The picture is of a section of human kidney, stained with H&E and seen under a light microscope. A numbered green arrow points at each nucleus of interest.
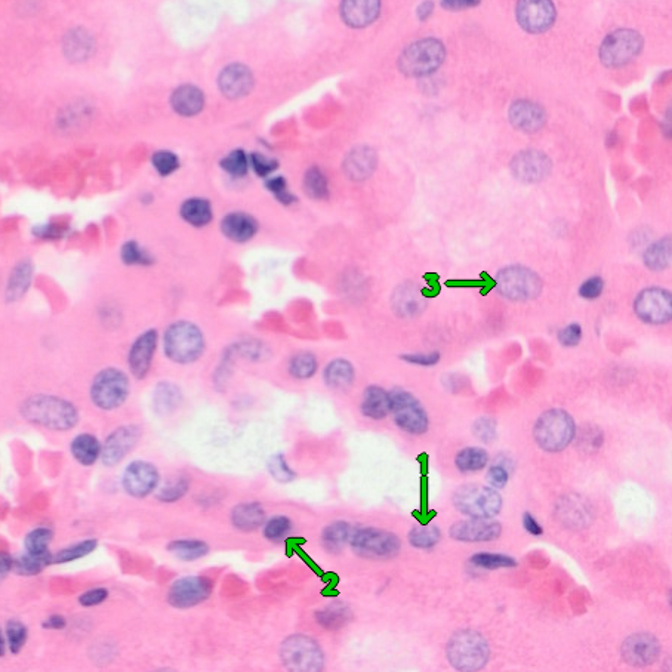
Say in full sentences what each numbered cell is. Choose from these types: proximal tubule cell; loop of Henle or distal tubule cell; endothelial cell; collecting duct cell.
Cell 1 is a collecting duct cell, cell 2 is a collecting duct cell and cell 3 is a proximal tubule cell.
